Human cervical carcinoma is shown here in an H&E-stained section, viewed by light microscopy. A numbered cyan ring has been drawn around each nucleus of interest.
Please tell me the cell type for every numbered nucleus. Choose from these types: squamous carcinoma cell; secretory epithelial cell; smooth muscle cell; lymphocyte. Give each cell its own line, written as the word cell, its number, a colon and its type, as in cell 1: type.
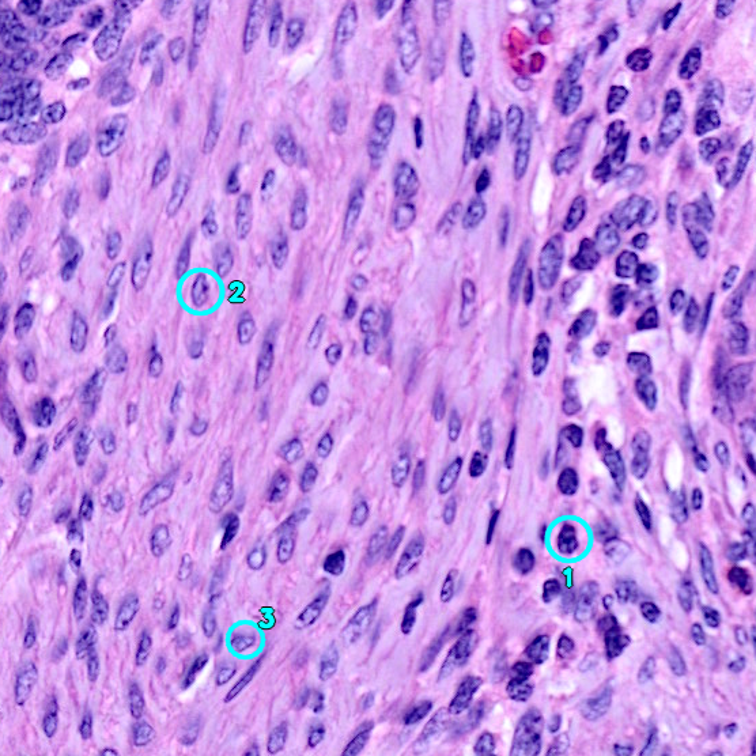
cell 1: lymphocyte
cell 2: smooth muscle cell
cell 3: smooth muscle cell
